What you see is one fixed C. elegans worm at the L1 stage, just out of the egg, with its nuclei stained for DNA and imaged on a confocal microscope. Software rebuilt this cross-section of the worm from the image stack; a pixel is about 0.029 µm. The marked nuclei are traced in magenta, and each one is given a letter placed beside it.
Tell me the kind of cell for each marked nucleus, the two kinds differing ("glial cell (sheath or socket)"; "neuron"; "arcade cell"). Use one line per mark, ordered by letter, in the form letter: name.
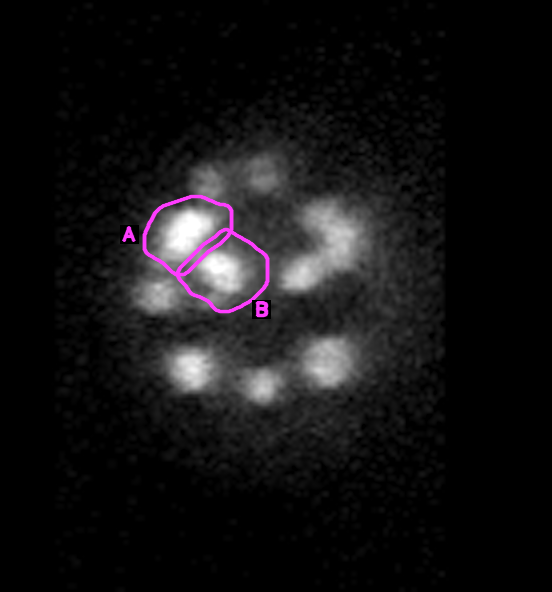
A: glial cell (sheath or socket)
B: neuron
